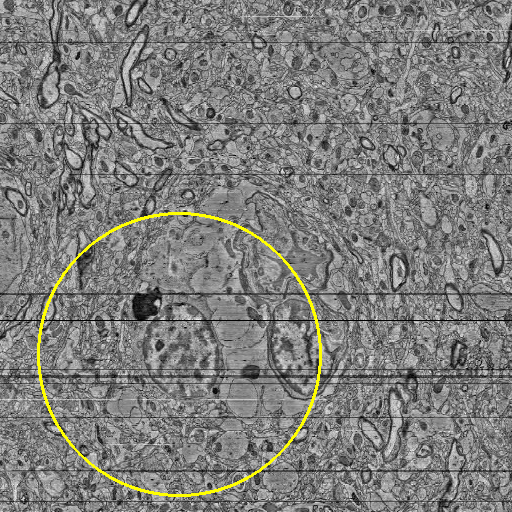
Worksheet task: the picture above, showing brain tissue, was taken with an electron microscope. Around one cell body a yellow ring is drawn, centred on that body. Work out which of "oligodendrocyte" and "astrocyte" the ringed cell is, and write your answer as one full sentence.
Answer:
It is an oligodendrocyte whose cell body lies at the centre of the yellow ring.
